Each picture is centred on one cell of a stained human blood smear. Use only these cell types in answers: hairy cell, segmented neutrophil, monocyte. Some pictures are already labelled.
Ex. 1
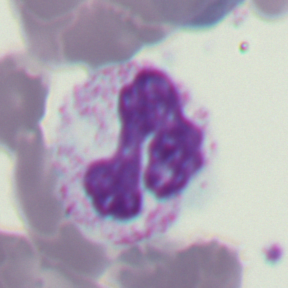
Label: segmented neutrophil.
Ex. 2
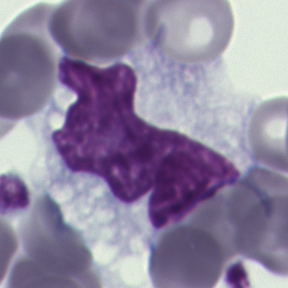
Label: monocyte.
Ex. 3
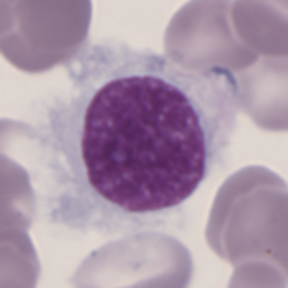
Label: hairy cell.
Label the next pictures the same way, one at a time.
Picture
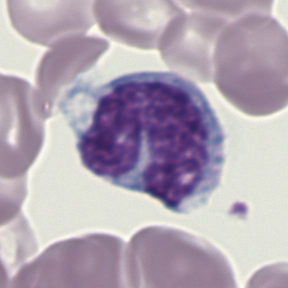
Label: monocyte.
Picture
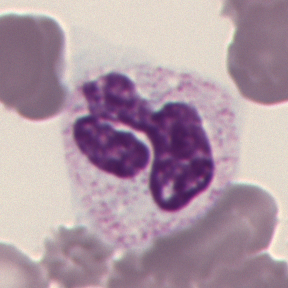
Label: segmented neutrophil.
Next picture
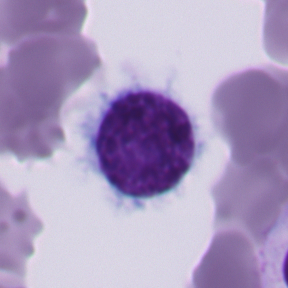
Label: hairy cell.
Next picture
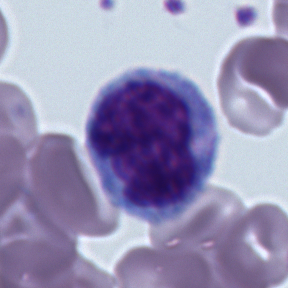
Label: monocyte.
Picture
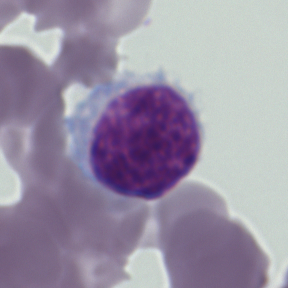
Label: hairy cell.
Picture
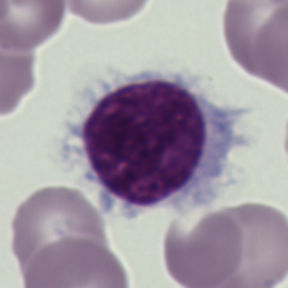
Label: hairy cell.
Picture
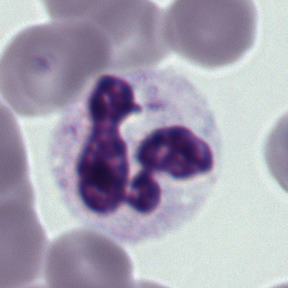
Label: segmented neutrophil.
